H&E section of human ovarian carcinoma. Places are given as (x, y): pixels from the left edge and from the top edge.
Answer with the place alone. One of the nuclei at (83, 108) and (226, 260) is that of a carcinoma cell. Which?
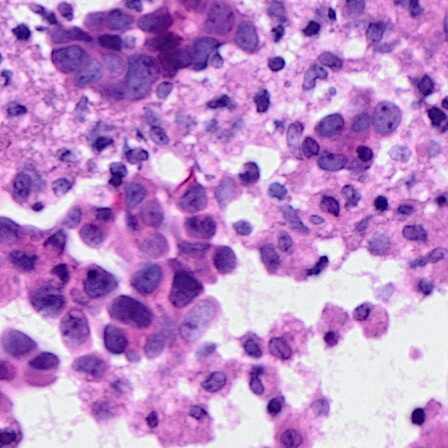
(226, 260)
